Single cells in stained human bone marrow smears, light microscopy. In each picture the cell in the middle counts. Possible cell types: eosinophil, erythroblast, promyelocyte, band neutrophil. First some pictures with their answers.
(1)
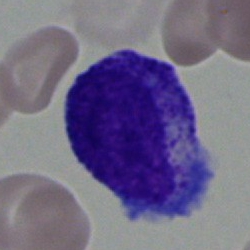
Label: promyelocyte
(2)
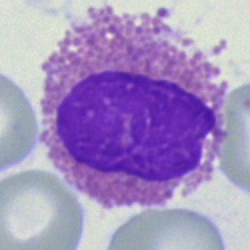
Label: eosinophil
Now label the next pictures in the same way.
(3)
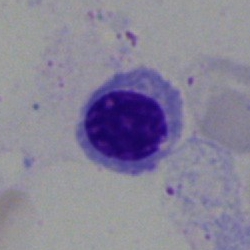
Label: erythroblast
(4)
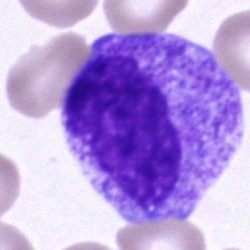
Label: promyelocyte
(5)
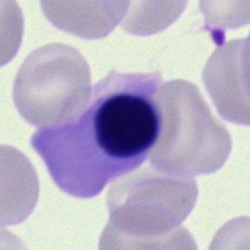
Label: erythroblast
